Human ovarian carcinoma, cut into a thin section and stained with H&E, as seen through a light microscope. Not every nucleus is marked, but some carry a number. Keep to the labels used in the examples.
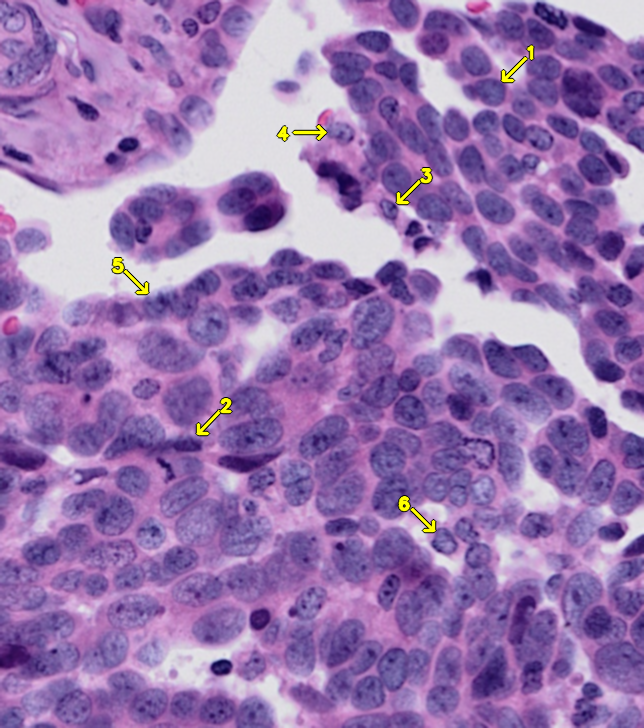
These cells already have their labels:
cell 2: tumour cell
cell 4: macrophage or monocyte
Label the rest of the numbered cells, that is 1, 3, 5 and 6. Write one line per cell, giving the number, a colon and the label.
1: tumour cell
3: macrophage or monocyte
5: tumour cell
6: macrophage or monocyte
